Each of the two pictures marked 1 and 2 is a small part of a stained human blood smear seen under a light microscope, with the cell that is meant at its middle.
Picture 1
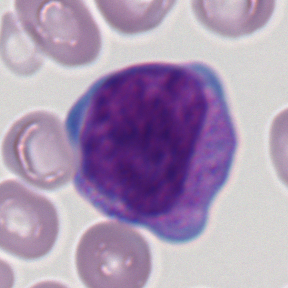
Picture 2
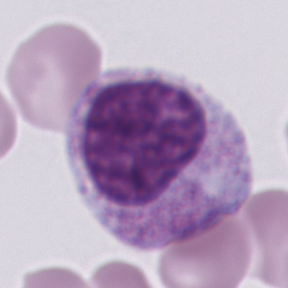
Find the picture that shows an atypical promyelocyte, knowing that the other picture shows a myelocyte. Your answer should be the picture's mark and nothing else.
1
